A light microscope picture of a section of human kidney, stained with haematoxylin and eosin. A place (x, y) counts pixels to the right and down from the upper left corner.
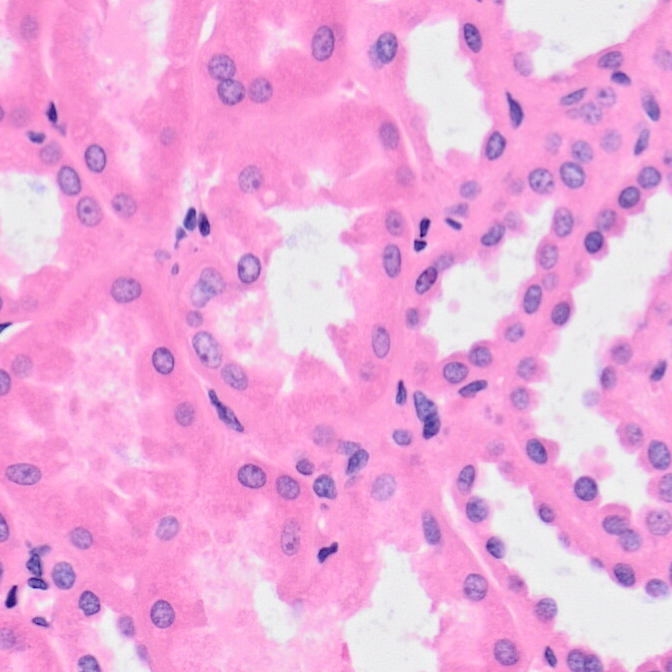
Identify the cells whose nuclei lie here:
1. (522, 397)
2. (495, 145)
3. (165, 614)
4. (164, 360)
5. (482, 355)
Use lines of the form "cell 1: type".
cell 1: loop of Henle or distal tubule cell
cell 2: loop of Henle or distal tubule cell
cell 3: proximal tubule cell
cell 4: proximal tubule cell
cell 5: loop of Henle or distal tubule cell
